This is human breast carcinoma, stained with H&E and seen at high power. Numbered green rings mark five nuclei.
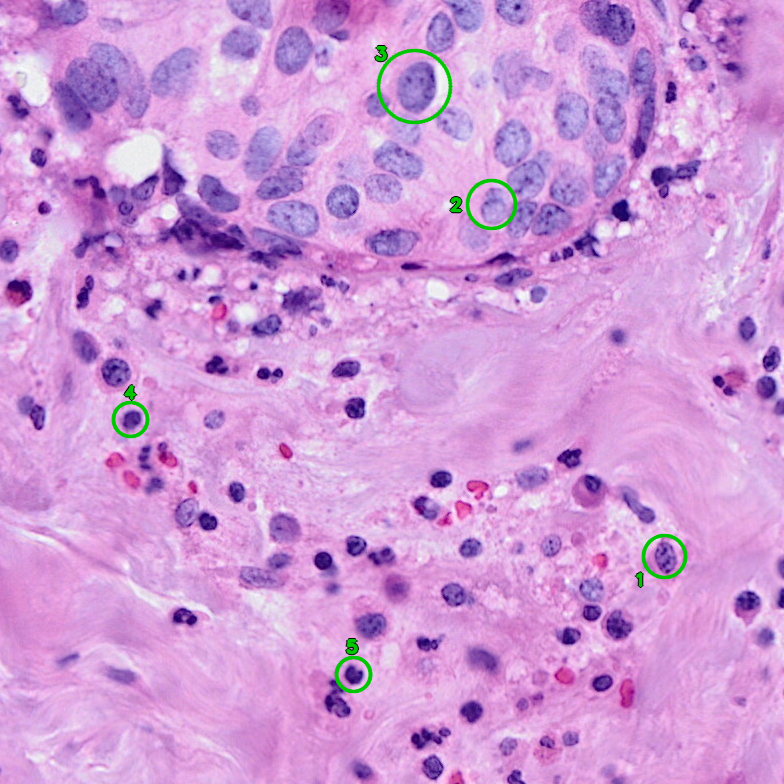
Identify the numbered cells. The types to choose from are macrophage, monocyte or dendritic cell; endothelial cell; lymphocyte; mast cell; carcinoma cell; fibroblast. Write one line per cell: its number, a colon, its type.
1: mast cell
2: carcinoma cell
3: carcinoma cell
4: lymphocyte
5: lymphocyte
